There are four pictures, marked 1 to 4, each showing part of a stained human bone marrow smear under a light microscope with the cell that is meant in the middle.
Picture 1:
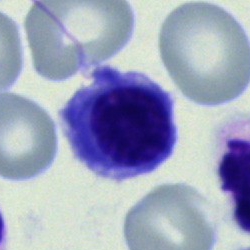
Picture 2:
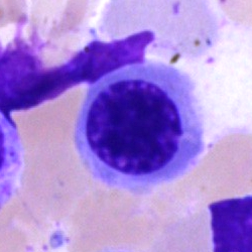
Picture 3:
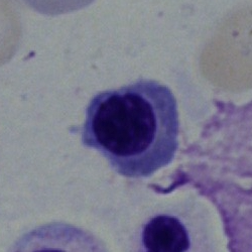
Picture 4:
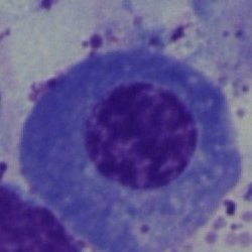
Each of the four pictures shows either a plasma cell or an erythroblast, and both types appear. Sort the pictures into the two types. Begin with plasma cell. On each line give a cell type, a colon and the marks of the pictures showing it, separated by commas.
plasma cell: 4
erythroblast: 1, 2, 3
